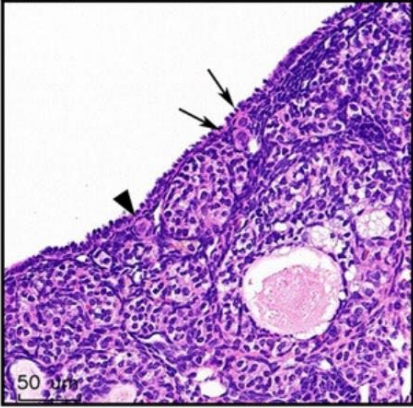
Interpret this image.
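This is the outer cortex of an ovary, stained purple and pink. Deeper in the tissue lies a larger round structure with pale pink contents. Small clear spaces are scattered through the stroma.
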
